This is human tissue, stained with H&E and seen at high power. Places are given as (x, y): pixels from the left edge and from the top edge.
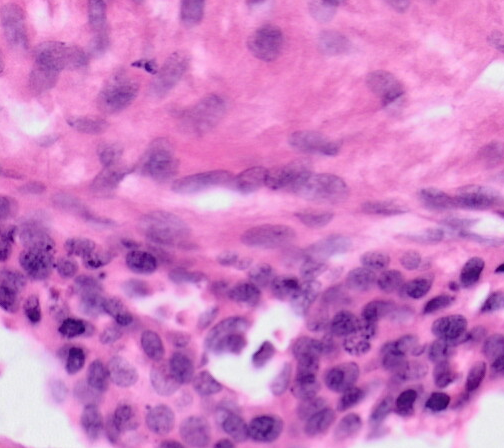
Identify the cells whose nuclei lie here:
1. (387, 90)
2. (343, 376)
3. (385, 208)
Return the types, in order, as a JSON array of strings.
["fibroblast", "carcinoma cell", "fibroblast"]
